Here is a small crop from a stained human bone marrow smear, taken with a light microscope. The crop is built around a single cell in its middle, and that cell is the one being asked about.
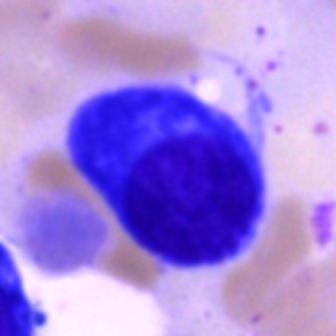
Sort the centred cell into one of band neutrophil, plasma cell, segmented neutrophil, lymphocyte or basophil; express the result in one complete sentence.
Framed in the middle of the crop is a plasma cell.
